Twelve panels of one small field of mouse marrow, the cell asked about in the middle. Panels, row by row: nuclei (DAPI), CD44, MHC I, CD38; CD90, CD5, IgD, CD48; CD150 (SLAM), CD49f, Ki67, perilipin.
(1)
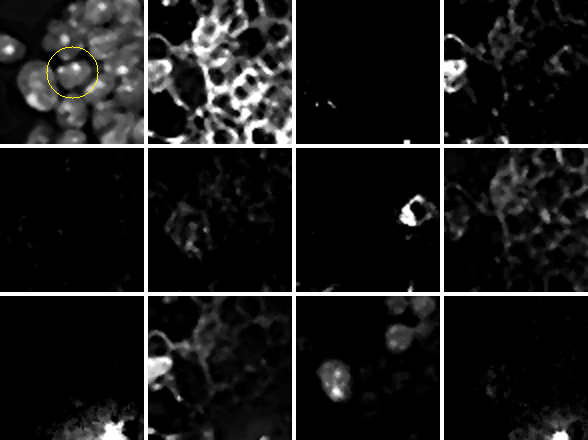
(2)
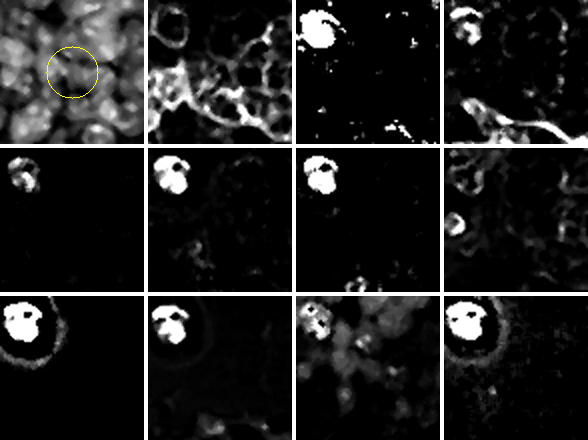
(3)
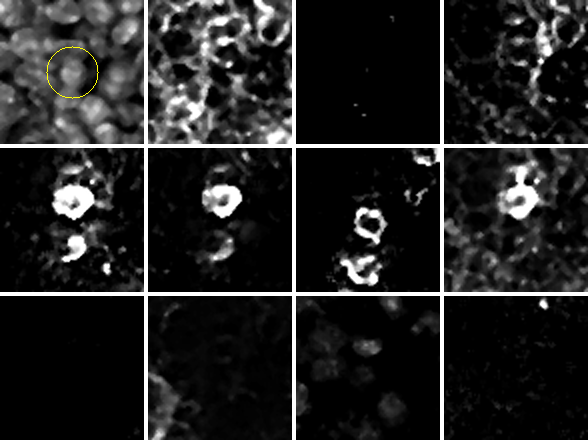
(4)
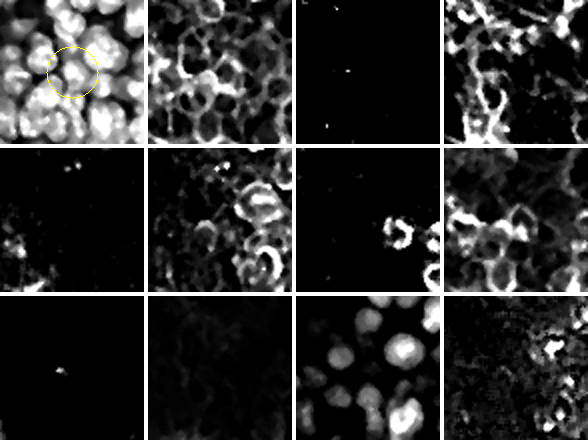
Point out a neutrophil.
That is picture 1.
